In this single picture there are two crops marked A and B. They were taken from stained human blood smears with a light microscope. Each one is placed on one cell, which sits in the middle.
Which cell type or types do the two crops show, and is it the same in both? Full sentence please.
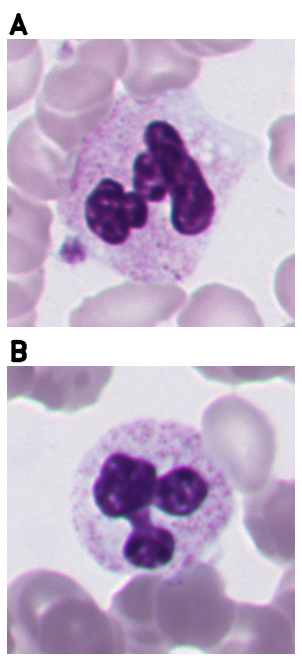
Yes, for both crops, the central cells are segmented neutrophils.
